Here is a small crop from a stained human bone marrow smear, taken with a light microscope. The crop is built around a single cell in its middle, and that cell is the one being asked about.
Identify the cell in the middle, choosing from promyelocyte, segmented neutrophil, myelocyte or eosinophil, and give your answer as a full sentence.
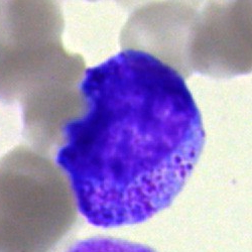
The centrally located cell in the crop is a promyelocyte.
